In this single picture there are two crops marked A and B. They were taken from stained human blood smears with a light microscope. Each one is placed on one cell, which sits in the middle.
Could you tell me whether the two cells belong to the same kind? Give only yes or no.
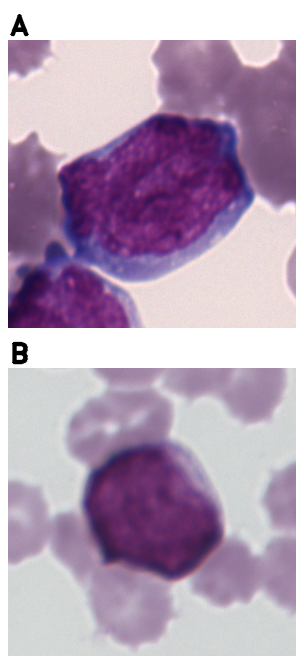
yes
